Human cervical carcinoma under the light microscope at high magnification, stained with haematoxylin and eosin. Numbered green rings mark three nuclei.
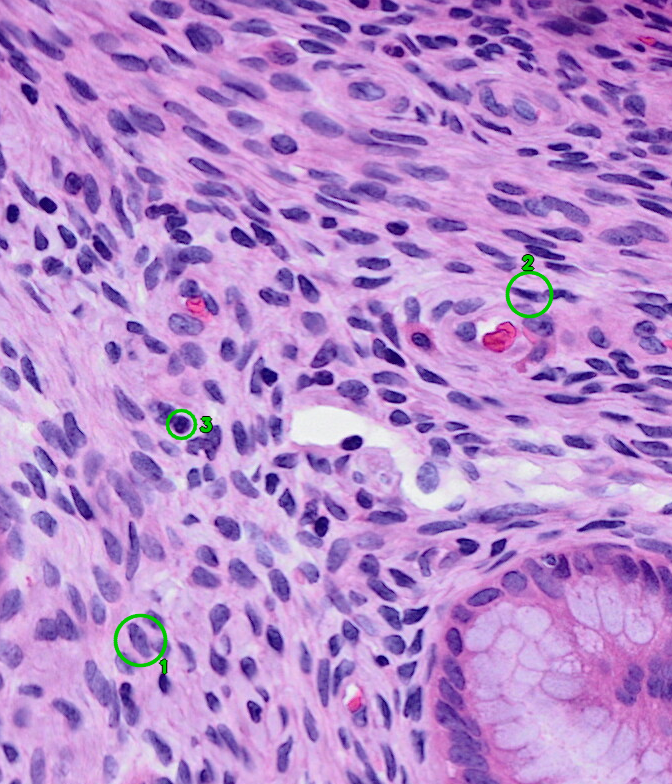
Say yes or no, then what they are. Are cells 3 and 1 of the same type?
No, as to type, cell 3 is a lymphocyte, and cell 1 is a fibroblast.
